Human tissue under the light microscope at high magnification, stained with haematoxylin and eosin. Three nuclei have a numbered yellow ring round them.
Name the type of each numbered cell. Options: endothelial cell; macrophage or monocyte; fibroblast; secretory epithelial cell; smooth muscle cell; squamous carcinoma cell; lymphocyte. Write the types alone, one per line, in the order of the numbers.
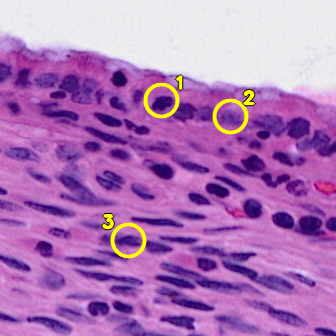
secretory epithelial cell
secretory epithelial cell
fibroblast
